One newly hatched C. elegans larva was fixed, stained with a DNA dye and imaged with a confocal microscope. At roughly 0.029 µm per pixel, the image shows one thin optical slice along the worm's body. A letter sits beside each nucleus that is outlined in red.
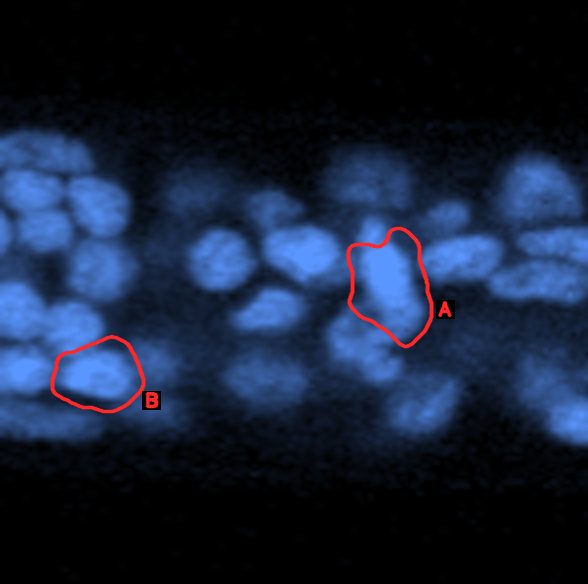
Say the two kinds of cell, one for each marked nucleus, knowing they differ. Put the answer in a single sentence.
Nucleus A comes from a pharyngeal muscle cell and nucleus B from a neuron.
